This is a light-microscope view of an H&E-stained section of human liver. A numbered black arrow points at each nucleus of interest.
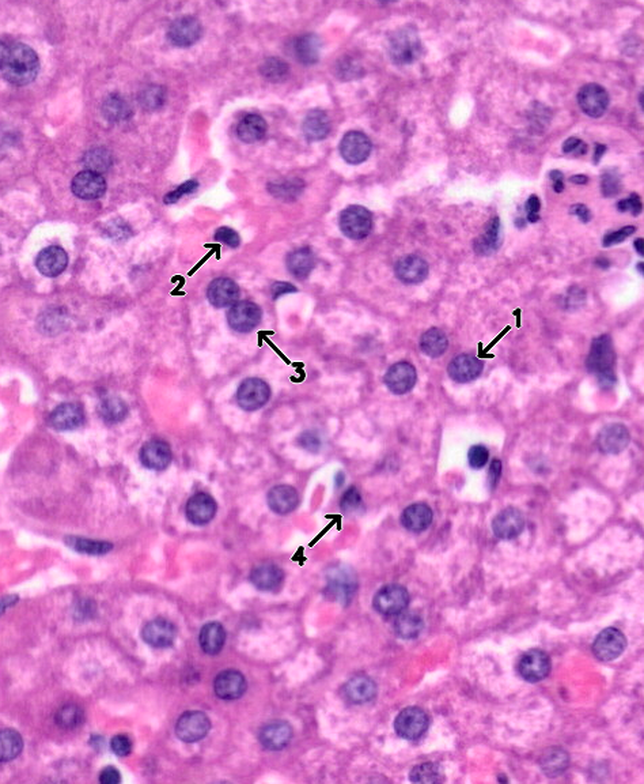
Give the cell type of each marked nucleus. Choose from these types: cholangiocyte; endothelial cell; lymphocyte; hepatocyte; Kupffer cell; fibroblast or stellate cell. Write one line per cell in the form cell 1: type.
cell 1: hepatocyte
cell 2: lymphocyte
cell 3: hepatocyte
cell 4: Kupffer cell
